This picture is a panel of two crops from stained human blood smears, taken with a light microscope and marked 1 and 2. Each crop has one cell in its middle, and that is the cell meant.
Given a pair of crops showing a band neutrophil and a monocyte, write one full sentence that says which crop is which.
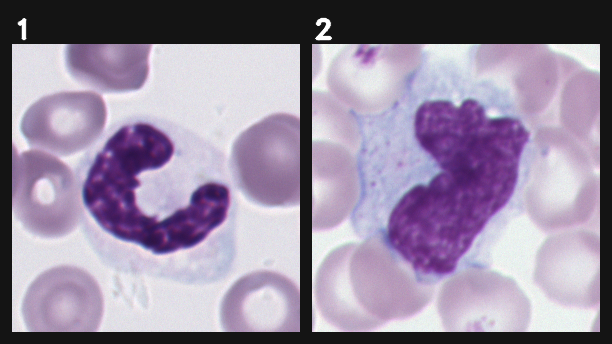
The crop labelled 1 is a band neutrophil, and the crop labelled 2 is a monocyte.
